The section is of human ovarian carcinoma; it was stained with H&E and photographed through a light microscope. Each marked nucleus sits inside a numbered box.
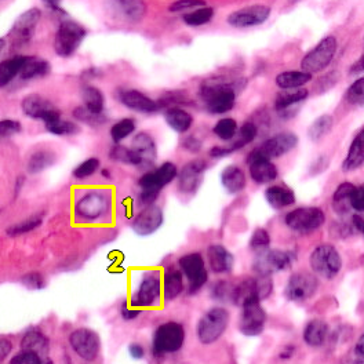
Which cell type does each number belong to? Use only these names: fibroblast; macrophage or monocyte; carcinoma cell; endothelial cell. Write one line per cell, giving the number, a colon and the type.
1: endothelial cell
2: carcinoma cell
